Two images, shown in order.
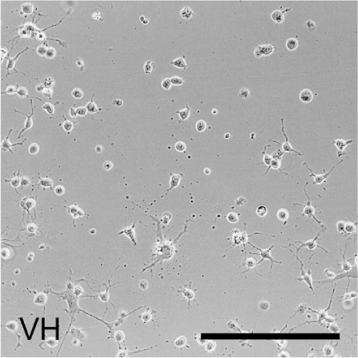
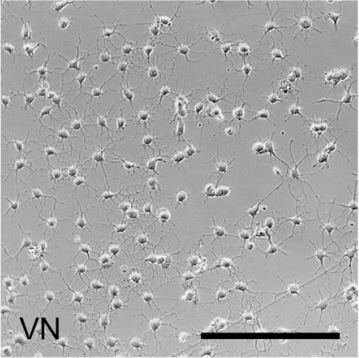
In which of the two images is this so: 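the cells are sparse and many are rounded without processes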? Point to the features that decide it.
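The first image. First image: few cells, widely spaced, many small round bright bodies with no processes. Second image: dense, evenly spread cells, most with several thin branching processes.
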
